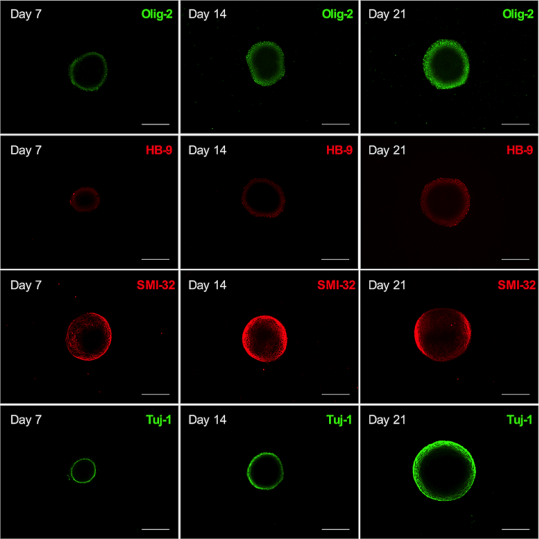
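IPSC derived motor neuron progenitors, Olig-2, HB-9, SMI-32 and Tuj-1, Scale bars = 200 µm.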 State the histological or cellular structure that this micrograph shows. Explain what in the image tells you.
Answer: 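Each image shows a single round, compact cell mass with a sharp circular edge. Staining is strongest in a ring at the rim of the mass.
Answer: spheroids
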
